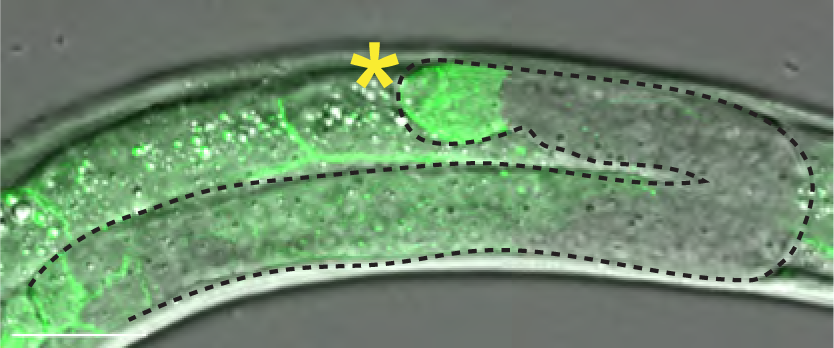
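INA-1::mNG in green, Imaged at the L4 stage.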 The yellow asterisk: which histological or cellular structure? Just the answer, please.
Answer: gonad tip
